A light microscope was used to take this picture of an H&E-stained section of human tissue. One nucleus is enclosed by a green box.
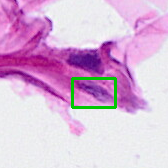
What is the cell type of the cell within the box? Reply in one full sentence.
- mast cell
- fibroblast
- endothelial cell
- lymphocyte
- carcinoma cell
As to its cell type, the cell within the box is an endothelial cell.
